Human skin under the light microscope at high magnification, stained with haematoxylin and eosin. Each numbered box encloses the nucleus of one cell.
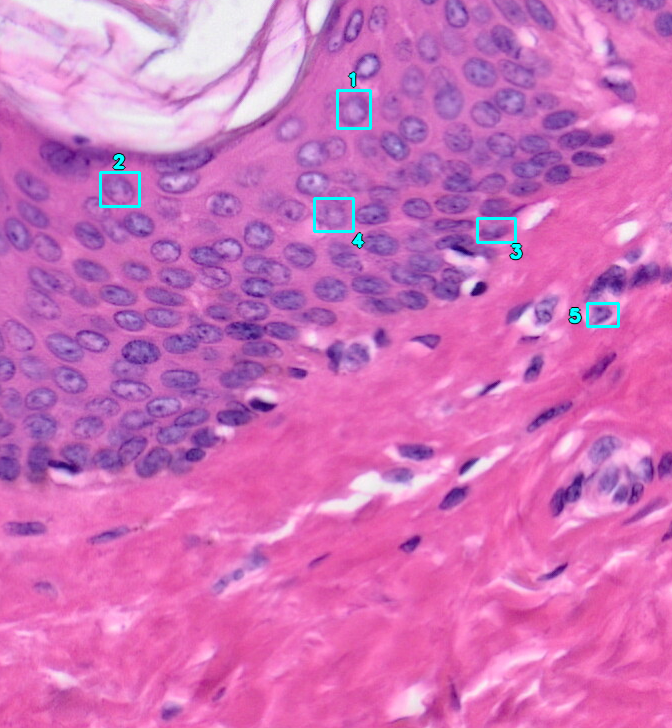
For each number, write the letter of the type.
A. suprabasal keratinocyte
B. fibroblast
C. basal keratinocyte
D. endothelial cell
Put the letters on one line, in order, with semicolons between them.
A; A; C; A; D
